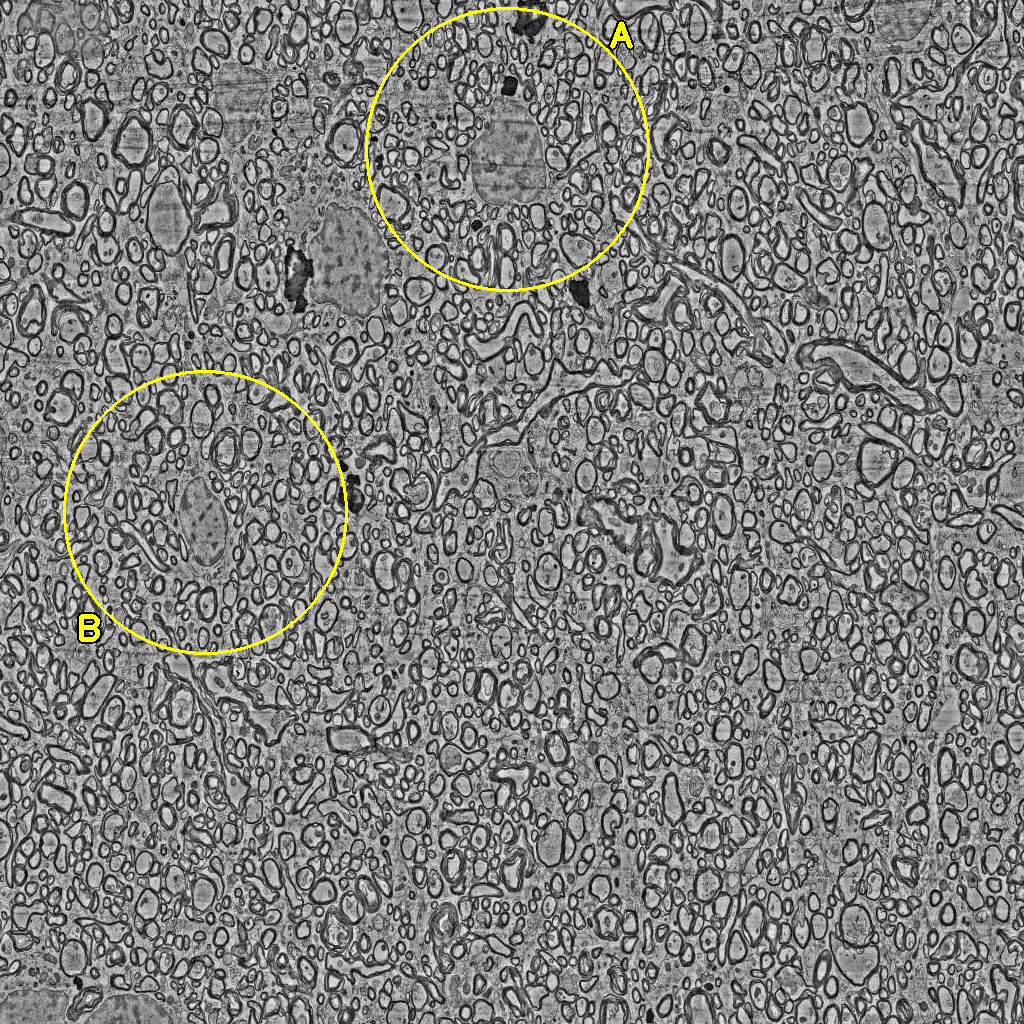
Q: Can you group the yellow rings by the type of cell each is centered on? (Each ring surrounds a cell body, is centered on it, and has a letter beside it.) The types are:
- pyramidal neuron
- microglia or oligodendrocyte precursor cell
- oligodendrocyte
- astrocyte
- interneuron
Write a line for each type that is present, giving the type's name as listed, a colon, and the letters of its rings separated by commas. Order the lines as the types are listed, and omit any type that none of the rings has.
microglia or oligodendrocyte precursor cell: B
oligodendrocyte: A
